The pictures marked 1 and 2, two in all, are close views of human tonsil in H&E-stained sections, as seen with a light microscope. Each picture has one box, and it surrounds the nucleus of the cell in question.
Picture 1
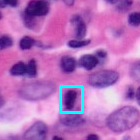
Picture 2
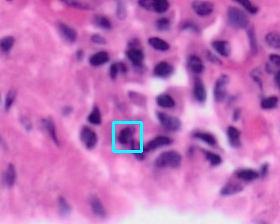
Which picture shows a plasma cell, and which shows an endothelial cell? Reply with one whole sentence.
Picture 1 shows an endothelial cell and picture 2 shows a plasma cell.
